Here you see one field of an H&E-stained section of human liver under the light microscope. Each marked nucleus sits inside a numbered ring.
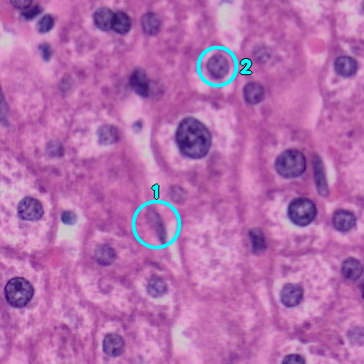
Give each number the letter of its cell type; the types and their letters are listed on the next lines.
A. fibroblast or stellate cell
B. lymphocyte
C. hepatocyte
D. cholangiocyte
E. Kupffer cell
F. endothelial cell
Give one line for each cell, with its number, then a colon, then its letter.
1: E
2: C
